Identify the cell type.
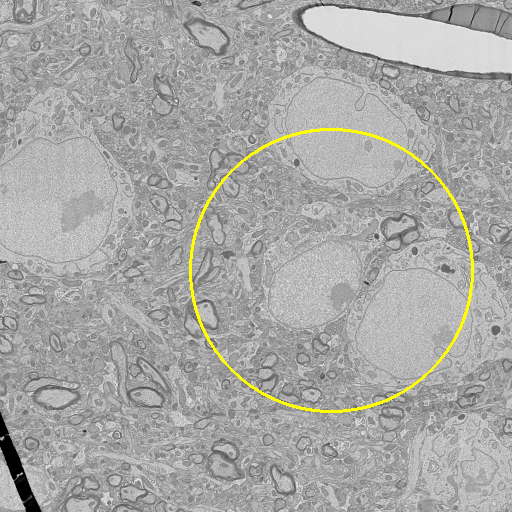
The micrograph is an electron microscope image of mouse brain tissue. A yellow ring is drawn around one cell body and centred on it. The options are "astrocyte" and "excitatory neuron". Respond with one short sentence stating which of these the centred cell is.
The cell body in the ring belongs to an astrocyte.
